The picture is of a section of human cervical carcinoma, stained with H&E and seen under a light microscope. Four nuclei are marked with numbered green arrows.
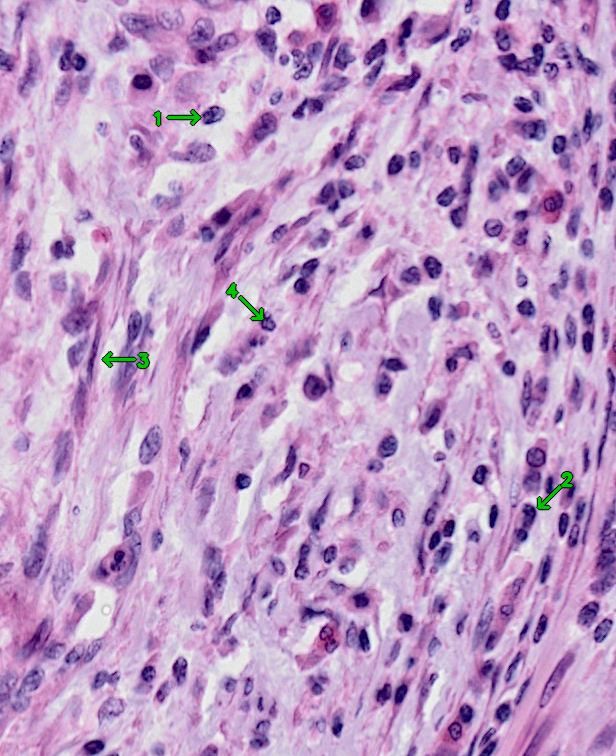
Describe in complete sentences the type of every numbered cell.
Cells 1, 2 and 4 are lymphocytes. Cell 3 is a fibroblast.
